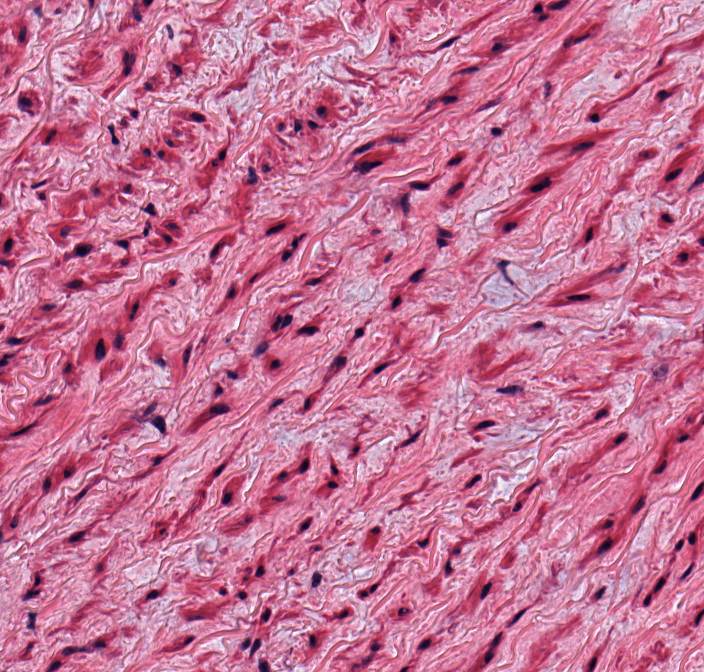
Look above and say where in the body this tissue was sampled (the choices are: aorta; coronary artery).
aorta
